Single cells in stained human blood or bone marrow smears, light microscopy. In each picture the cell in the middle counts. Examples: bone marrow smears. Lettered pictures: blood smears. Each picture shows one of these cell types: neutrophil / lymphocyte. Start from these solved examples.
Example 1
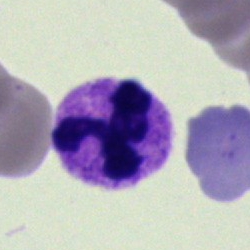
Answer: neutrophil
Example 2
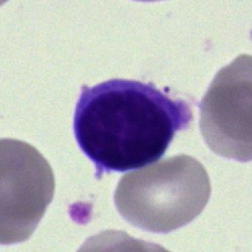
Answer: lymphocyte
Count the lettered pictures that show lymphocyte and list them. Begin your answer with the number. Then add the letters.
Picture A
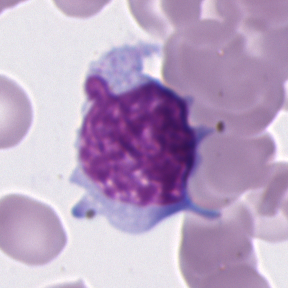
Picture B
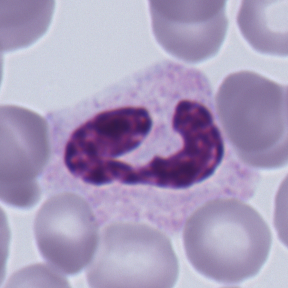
Count: 1 (A)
